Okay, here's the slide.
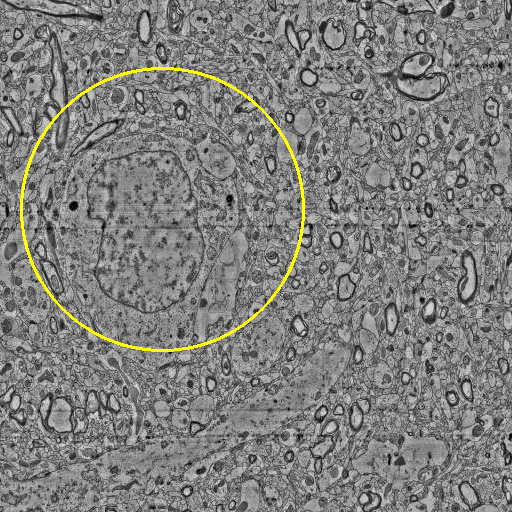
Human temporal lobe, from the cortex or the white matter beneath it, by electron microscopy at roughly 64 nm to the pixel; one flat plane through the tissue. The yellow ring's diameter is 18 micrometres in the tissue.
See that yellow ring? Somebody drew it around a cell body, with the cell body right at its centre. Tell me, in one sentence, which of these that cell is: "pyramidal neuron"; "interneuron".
The cell in the middle of the ring is a pyramidal neuron.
